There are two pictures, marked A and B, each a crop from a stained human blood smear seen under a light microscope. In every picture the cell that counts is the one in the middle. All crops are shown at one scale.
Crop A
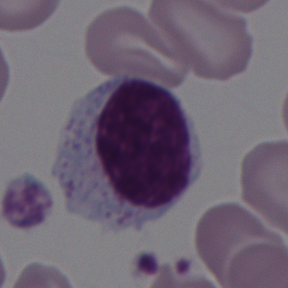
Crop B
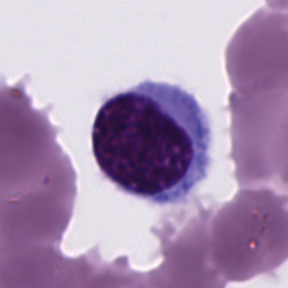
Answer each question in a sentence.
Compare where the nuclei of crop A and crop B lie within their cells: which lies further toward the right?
Seen within its cell, the nucleus in crop A lies further toward the right.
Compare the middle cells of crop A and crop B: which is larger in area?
Larger is the cell in crop A, at roughly 1.5 times the area of the other.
